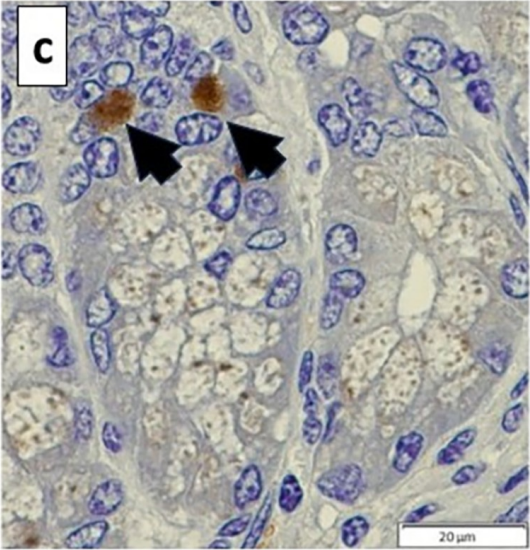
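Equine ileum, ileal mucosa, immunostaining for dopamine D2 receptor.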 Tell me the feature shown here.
Intestinal crypts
